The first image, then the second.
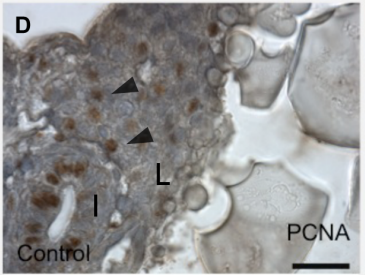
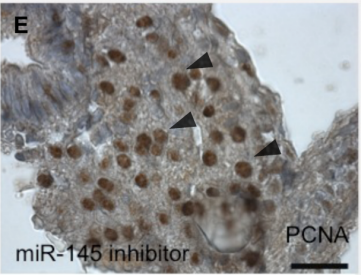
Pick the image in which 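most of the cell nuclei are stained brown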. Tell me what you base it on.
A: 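Second image: dense brown round nuclei fill most of the tissue. First image: brown nuclei are scattered among many unstained bluish-grey cells. So: the second image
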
